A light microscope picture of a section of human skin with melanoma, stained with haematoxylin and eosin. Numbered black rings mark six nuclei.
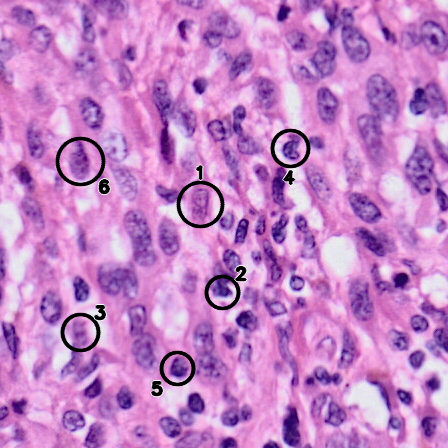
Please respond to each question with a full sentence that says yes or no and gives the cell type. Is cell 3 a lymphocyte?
No, cell 3, which is a melanoma cell, is not a lymphocyte.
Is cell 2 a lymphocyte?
Yes, exactly, the cell numbered 2 is a lymphocyte.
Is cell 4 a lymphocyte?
Yes, cell number 4 in this section is a lymphocyte.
